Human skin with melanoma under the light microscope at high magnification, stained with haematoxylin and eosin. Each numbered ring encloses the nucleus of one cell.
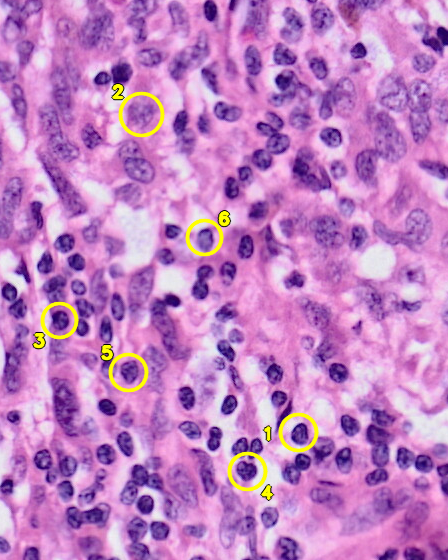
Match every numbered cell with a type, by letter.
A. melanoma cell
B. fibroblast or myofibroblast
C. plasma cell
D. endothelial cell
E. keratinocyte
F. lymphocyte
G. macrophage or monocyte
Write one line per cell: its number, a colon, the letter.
1: F
2: A
3: C
4: F
5: F
6: F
